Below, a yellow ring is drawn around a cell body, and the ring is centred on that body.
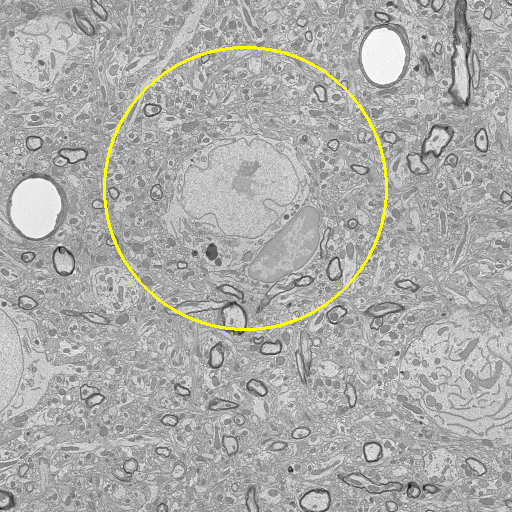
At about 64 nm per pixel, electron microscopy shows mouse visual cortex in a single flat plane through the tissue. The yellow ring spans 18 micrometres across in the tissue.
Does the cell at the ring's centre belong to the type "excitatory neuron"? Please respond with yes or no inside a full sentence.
No, the centred cell inside the ring shown in the picture is of a different type.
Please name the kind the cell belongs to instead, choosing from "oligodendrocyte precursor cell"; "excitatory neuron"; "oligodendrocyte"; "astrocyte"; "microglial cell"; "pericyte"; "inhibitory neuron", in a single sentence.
Instead, the cell at the centre of the yellow ring is an inhibitory neuron.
